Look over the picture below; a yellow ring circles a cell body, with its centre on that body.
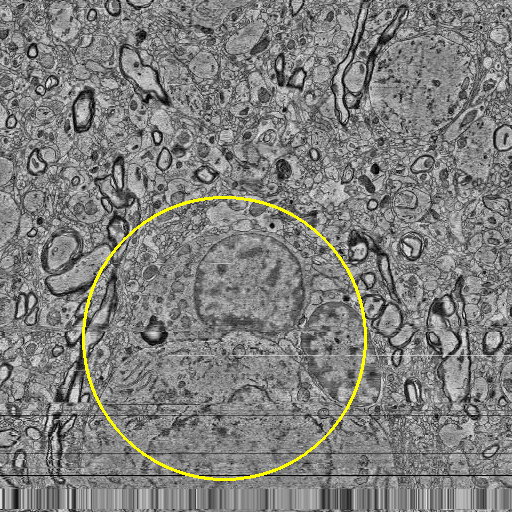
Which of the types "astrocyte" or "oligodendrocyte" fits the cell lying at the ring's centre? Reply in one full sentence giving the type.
The picture shows an oligodendrocyte at the centre of the yellow ring.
